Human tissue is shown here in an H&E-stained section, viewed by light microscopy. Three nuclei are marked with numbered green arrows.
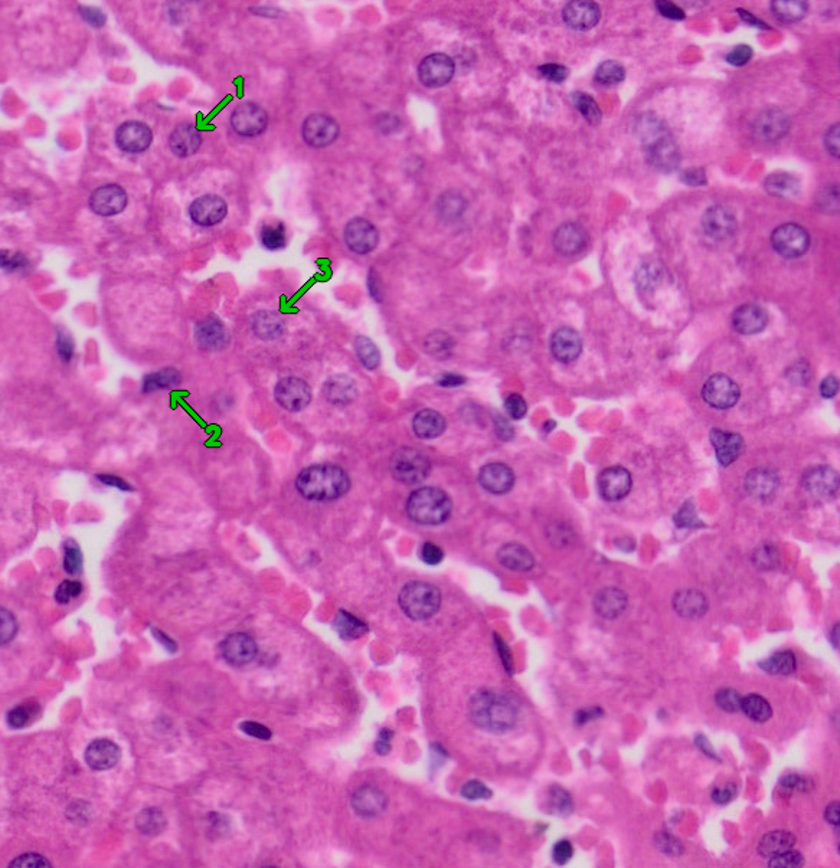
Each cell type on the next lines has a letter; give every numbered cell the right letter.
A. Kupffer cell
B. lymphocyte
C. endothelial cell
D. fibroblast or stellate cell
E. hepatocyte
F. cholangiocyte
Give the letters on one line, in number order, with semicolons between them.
E; D; E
